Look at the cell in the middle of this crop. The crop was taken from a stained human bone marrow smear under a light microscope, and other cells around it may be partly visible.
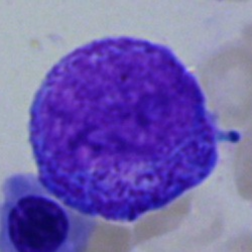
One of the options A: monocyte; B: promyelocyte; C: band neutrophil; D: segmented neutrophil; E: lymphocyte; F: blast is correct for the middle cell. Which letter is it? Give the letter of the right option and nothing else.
B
